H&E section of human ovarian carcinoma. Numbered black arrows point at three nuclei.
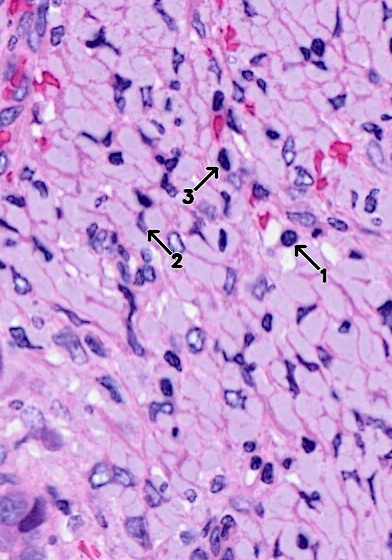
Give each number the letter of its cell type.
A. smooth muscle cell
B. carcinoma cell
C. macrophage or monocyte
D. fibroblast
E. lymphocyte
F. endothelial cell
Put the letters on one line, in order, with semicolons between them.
E; D; E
